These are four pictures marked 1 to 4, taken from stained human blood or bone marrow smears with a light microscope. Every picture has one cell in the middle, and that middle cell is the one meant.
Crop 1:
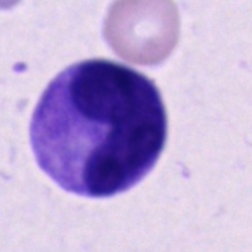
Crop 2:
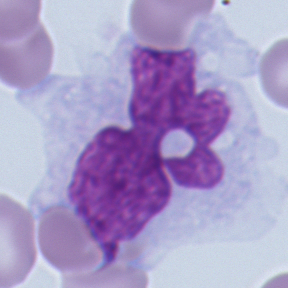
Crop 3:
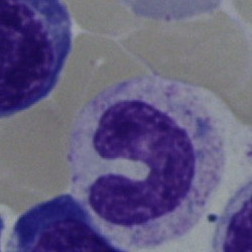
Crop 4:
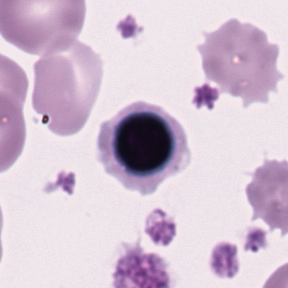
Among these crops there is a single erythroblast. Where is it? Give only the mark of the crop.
4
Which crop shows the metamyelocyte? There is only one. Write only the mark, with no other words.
1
